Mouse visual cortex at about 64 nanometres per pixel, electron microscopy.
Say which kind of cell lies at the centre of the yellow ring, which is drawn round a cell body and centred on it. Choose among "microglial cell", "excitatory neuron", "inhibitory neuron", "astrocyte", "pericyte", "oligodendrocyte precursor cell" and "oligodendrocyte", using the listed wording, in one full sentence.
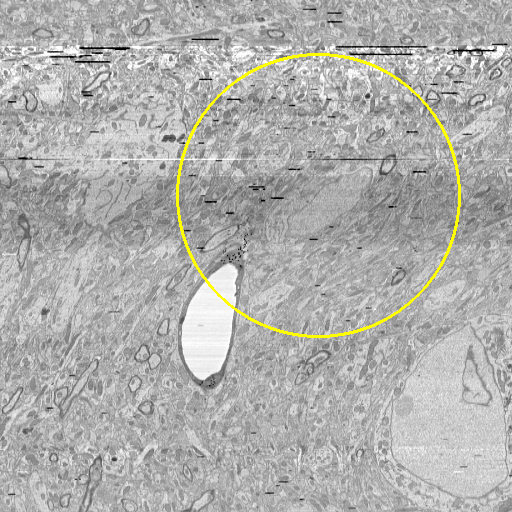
Going by the list, the cell at the yellow ring's centre is an oligodendrocyte precursor cell.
